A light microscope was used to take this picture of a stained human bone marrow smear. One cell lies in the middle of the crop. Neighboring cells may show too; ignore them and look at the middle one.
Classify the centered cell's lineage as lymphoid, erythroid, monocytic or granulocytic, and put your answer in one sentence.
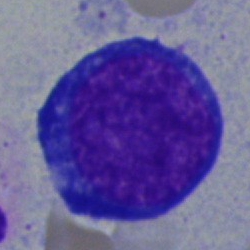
The central cell in this crop is categorized under the erythroid lineage.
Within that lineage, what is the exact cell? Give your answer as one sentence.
The cell nearest the centre of this crop is a proerythroblast.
